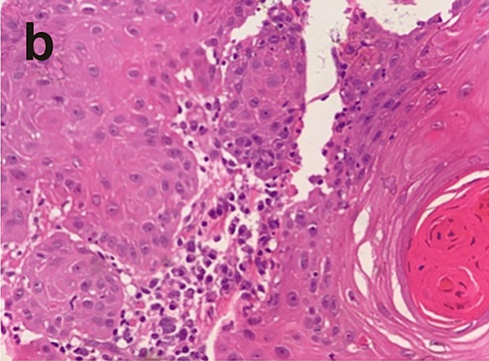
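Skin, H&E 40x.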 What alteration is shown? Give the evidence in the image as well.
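Sheets of large polygonal cells with abundant pink cytoplasm. A concentric keratin whorl at the right edge. A band of stroma with many small dark cells between the epithelial sheets.
Hence: Squamous cell carcinoma.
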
